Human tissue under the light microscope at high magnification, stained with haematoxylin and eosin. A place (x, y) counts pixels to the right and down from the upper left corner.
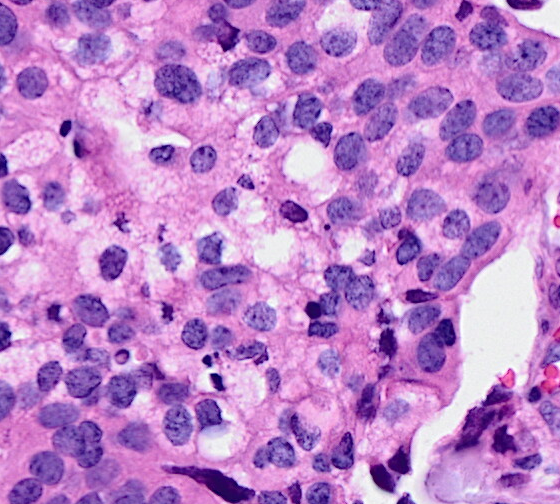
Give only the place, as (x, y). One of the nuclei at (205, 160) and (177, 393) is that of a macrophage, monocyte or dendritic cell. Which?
(205, 160)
